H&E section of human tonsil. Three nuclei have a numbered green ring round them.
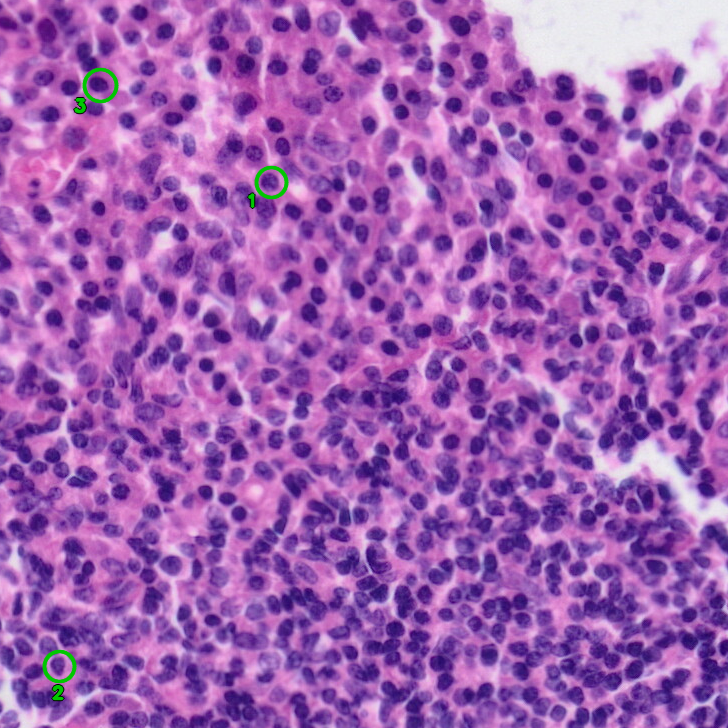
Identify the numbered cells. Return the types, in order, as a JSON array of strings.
["plasma cell", "small lymphocyte", "plasma cell"]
